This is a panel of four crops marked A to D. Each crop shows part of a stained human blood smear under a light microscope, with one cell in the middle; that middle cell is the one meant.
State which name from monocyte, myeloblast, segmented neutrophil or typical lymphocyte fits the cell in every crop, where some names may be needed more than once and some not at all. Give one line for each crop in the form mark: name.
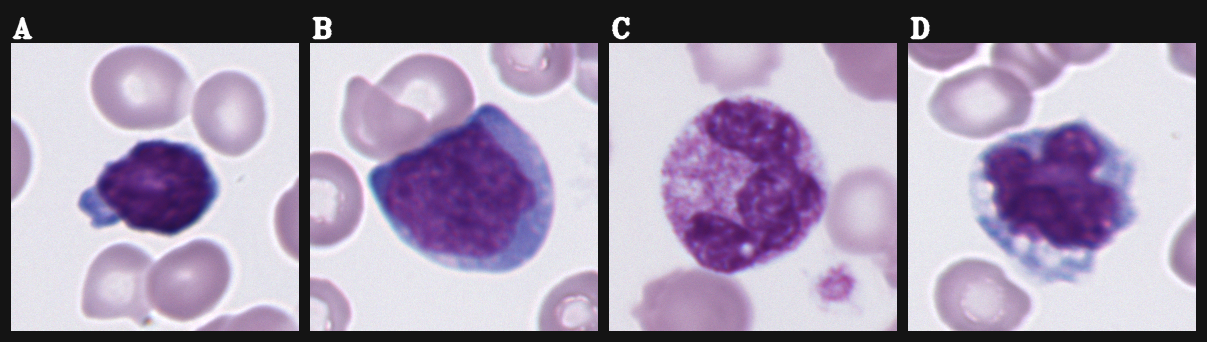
A: typical lymphocyte
B: myeloblast
C: segmented neutrophil
D: monocyte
